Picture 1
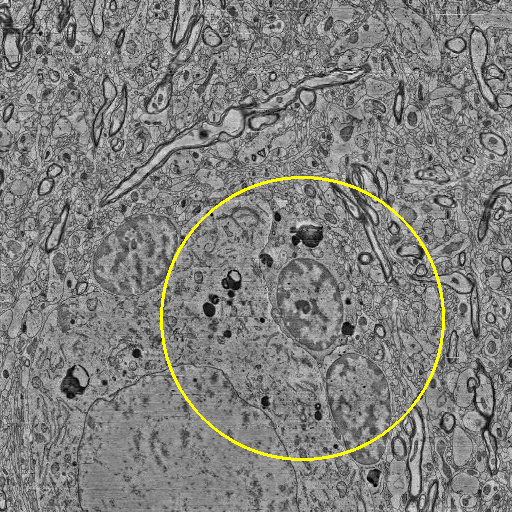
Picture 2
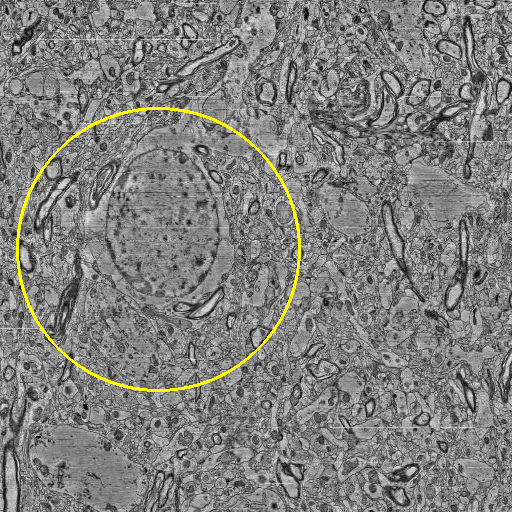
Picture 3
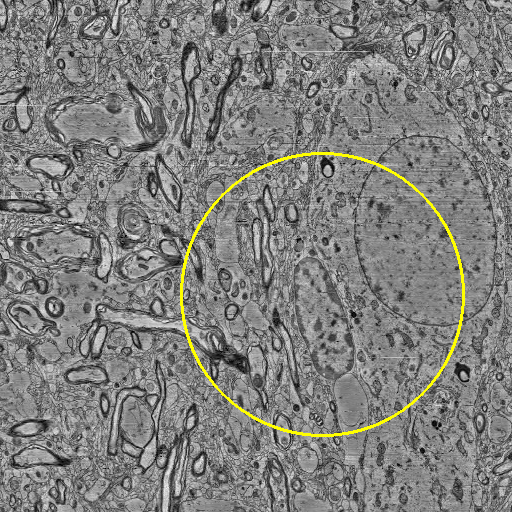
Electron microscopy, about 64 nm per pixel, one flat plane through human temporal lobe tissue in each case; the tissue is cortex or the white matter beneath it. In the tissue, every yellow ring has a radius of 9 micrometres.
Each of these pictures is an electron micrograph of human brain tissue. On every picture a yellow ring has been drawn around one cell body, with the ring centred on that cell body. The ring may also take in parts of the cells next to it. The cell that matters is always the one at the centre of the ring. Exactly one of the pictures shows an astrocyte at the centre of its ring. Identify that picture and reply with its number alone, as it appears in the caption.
2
